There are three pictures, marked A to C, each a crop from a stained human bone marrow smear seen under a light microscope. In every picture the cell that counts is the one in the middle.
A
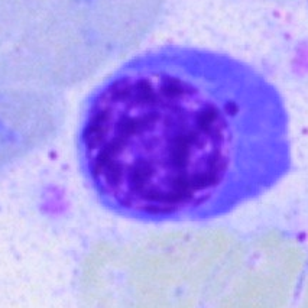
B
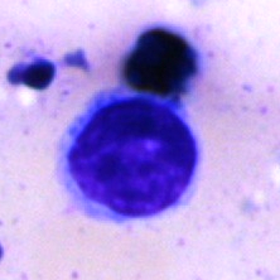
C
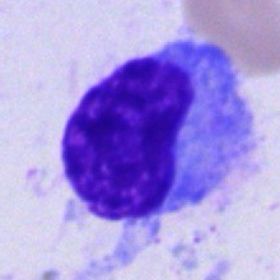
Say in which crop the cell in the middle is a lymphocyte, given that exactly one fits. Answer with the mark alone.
B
